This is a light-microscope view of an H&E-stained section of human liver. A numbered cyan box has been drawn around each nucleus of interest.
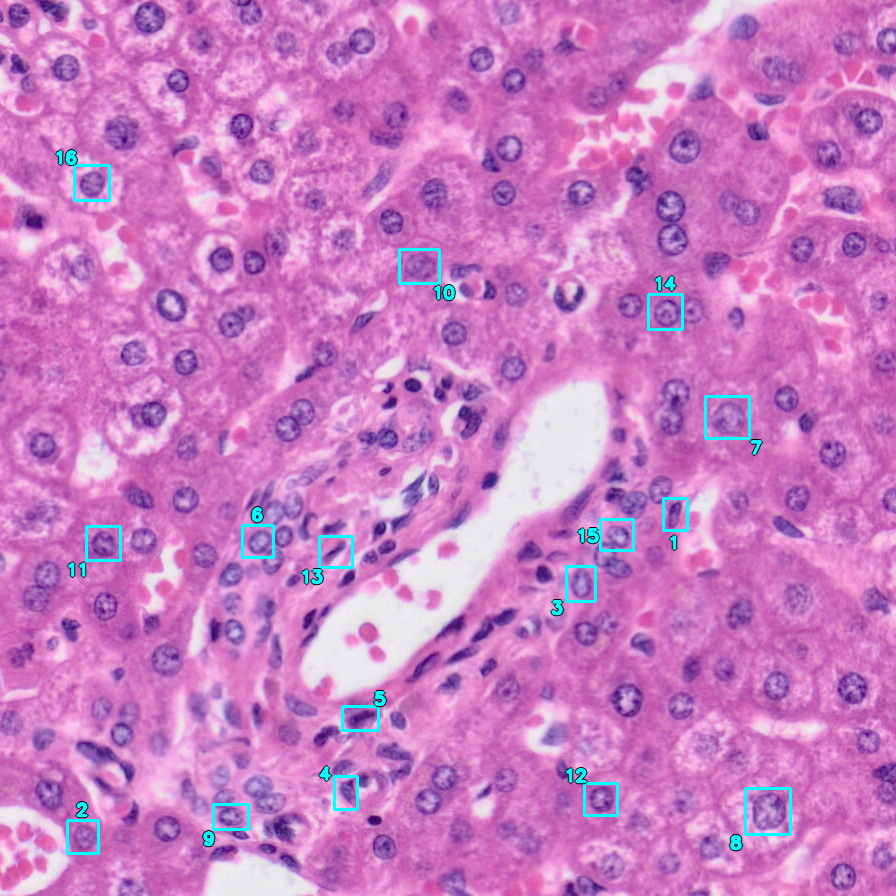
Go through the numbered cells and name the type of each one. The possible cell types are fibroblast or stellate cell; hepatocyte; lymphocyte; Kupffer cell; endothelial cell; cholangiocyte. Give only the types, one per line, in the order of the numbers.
fibroblast or stellate cell
hepatocyte
cholangiocyte
fibroblast or stellate cell
fibroblast or stellate cell
cholangiocyte
hepatocyte
hepatocyte
cholangiocyte
hepatocyte
hepatocyte
hepatocyte
fibroblast or stellate cell
hepatocyte
cholangiocyte
hepatocyte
